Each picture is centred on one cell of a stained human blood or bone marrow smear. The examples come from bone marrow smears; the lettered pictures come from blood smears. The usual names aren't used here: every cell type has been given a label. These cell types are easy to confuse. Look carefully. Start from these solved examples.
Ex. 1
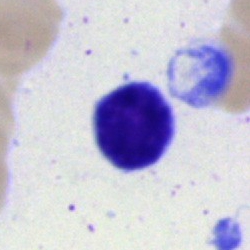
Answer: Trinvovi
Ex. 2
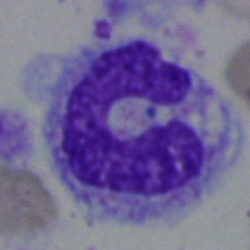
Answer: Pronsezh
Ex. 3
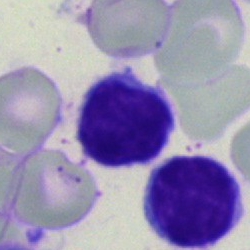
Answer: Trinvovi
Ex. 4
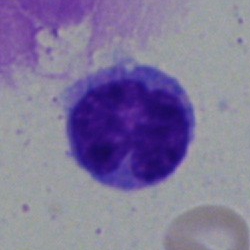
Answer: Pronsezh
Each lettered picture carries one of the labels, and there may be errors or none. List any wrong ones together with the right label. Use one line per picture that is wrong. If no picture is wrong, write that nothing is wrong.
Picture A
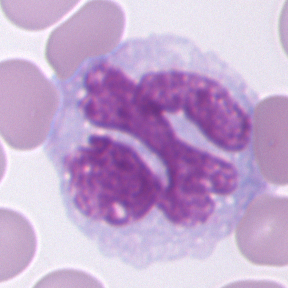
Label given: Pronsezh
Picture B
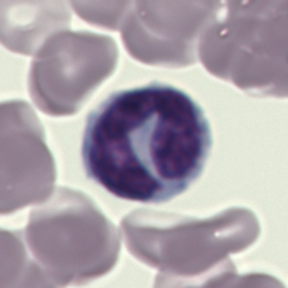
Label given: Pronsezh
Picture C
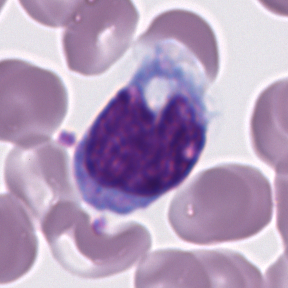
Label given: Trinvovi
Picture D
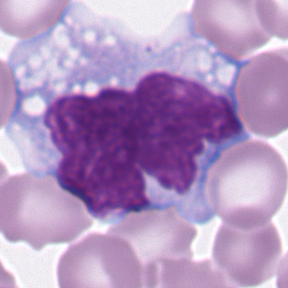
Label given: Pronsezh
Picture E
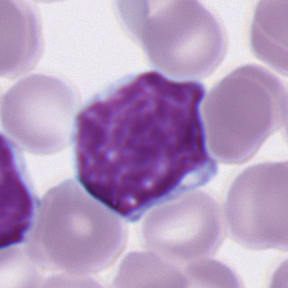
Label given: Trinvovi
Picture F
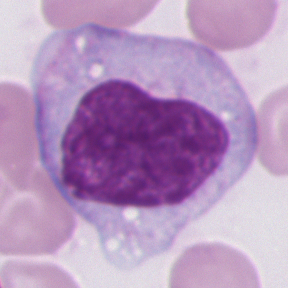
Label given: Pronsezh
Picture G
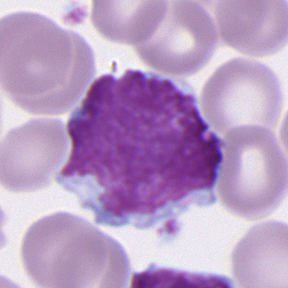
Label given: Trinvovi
C: not Trinvovi but Pronsezh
